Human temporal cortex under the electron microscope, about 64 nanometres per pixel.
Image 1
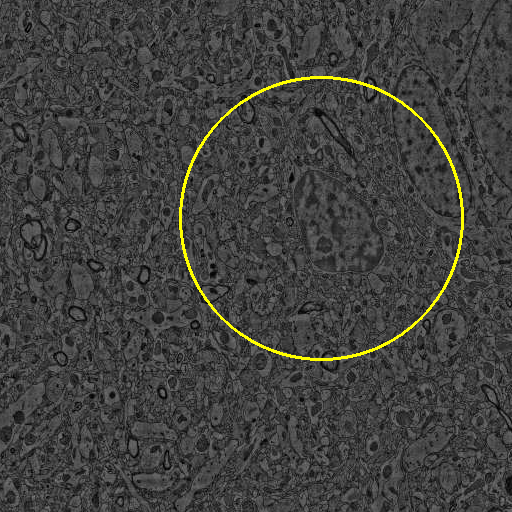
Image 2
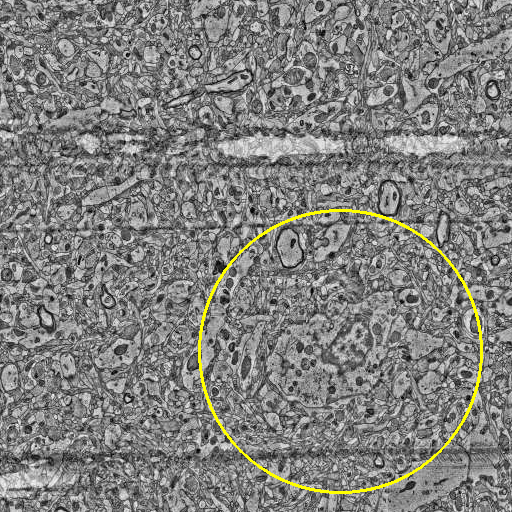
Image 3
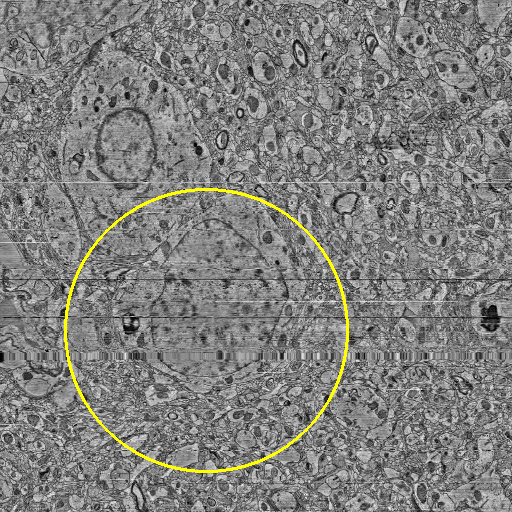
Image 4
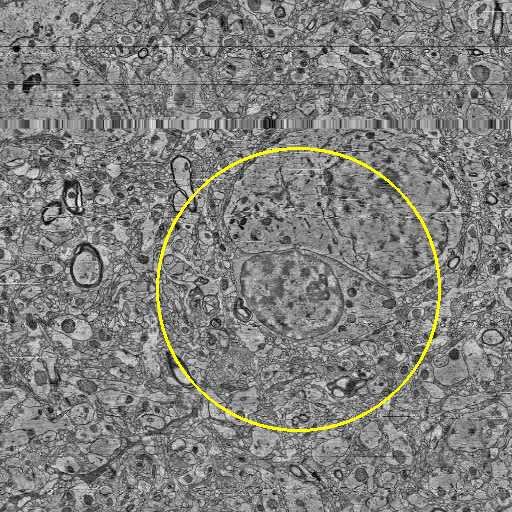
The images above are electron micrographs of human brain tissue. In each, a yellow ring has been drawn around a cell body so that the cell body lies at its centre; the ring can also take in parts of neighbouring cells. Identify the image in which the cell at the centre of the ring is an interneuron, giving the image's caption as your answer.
Image 2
